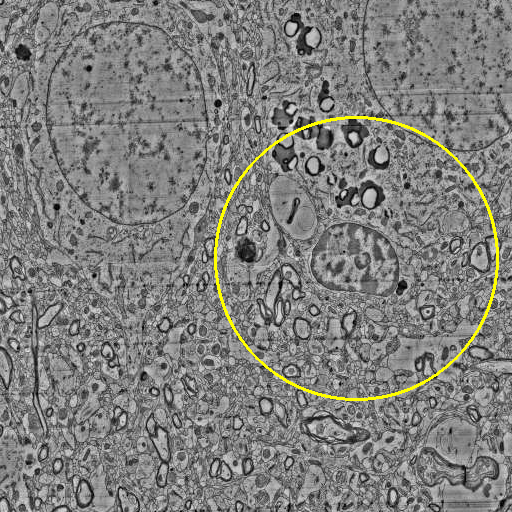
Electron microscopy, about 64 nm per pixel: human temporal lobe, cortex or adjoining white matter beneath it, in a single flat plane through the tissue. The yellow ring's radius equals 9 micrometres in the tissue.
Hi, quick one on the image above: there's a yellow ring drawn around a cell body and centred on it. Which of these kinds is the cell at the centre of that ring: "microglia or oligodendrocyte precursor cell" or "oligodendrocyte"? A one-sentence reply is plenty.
The cell at the centre of the ring is a microglial cell or oligodendrocyte precursor cell.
